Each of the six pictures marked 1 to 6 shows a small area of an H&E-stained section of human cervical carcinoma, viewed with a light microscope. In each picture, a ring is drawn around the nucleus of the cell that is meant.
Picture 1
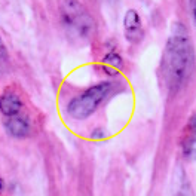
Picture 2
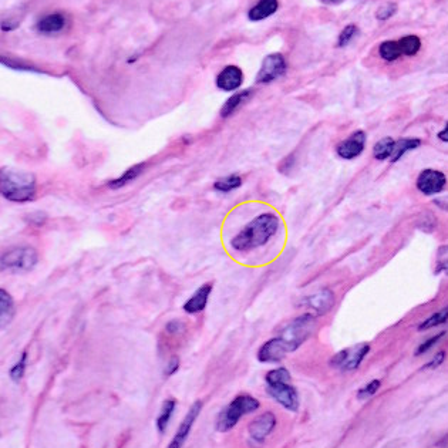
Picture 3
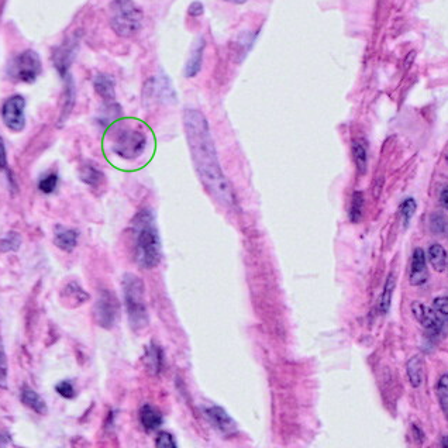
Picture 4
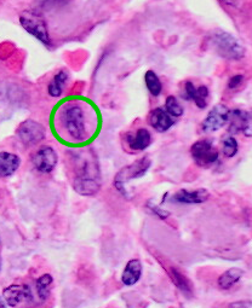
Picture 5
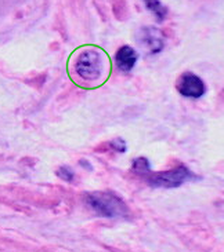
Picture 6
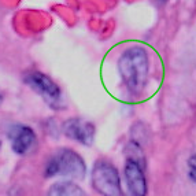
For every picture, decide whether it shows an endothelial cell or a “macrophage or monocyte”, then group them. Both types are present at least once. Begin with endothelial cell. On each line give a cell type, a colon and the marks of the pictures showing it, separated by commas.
endothelial cell: 4, 6
macrophage or monocyte: 1, 2, 3, 5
